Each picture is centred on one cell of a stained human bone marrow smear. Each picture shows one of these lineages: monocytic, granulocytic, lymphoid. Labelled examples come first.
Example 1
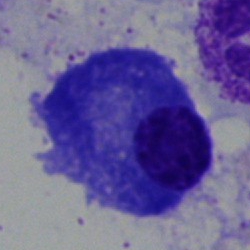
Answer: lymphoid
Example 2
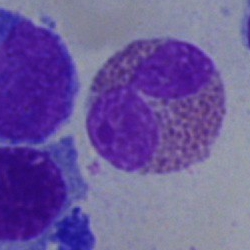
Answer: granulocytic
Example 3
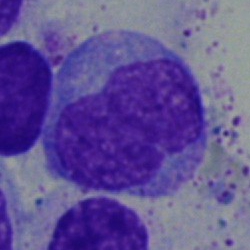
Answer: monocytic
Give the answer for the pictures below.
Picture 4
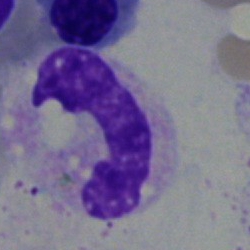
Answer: granulocytic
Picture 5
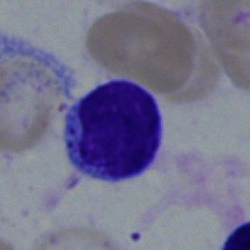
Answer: lymphoid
